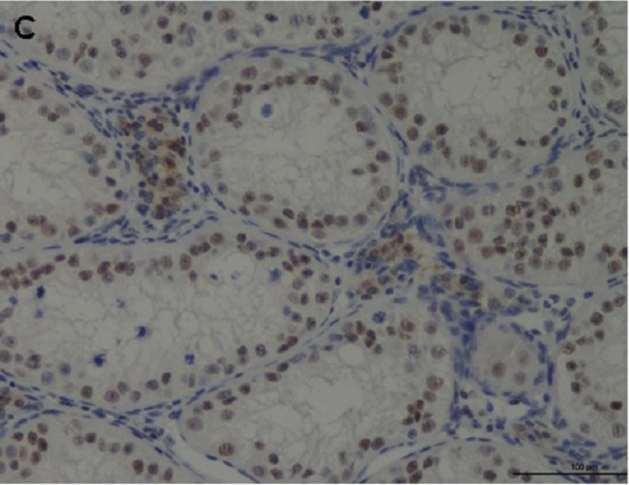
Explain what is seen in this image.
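Many round nuclei inside the tubules, especially in the rows near the tubule wall, are stained brown rather than blue. The tubule centres are pale and lacy. Between the tubules, the interstitial cells show a lighter, patchy brown in their cytoplasm. Flattened blue nuclei of the tubule walls and interstitial tissue remain unstained.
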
